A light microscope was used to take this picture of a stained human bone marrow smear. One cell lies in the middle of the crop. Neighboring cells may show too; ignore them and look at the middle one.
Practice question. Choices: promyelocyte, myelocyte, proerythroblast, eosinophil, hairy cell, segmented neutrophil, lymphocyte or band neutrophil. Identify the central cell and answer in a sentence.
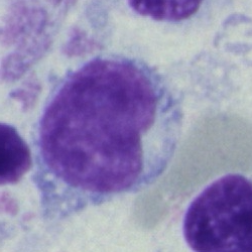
What the crop centres on is a hairy cell.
